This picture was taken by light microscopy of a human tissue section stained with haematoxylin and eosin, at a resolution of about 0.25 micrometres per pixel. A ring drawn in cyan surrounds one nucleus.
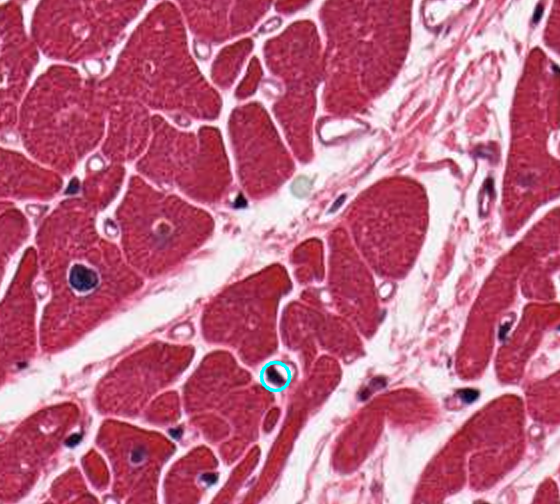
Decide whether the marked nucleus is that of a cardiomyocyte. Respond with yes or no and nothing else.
no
